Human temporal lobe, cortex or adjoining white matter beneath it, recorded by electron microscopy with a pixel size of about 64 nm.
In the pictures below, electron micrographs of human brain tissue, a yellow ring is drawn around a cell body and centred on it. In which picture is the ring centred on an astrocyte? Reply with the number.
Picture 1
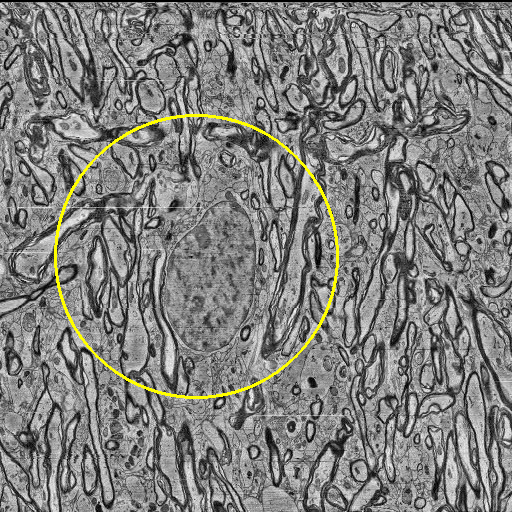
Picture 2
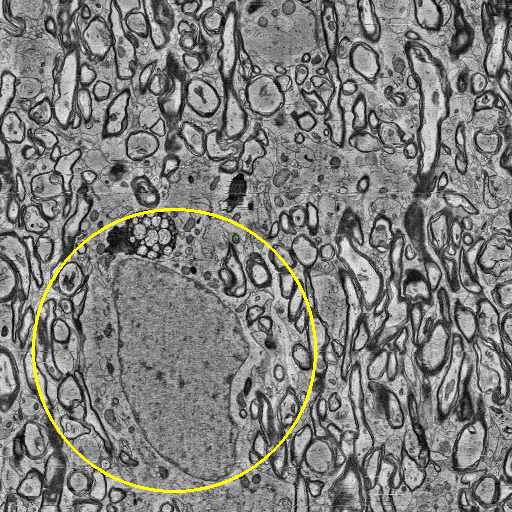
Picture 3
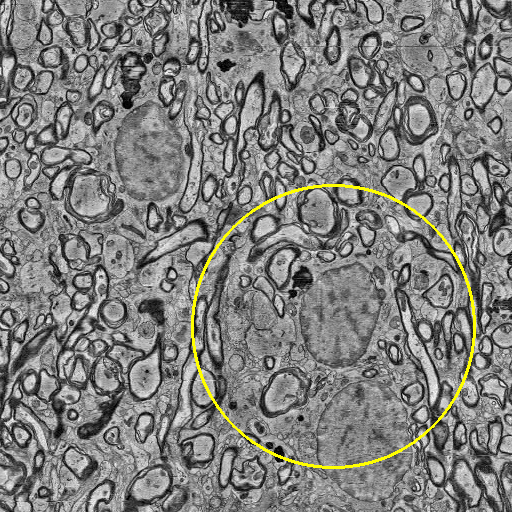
2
